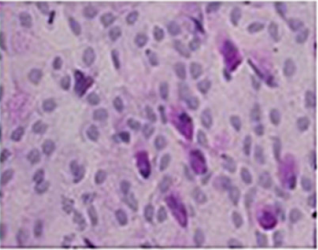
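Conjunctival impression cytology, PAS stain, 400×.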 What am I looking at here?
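Only a few small, irregular magenta-stained cells remain, some elongated rather than round. Dense clusters of large magenta goblet cells are absent. The appearance fits squamous metaplasia of the epithelium with goblet cell loss.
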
